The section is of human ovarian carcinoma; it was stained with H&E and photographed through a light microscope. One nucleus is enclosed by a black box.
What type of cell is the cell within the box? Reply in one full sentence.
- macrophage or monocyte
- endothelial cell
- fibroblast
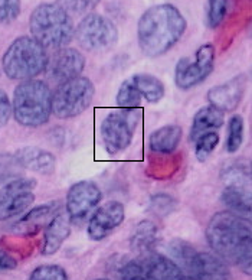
Students should answer that the cell within the box is a macrophage or monocyte.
